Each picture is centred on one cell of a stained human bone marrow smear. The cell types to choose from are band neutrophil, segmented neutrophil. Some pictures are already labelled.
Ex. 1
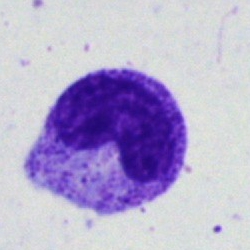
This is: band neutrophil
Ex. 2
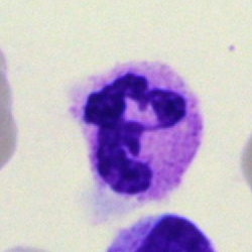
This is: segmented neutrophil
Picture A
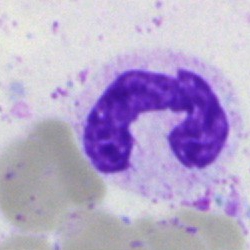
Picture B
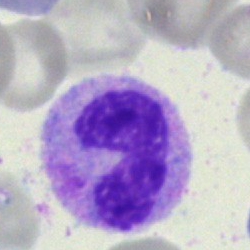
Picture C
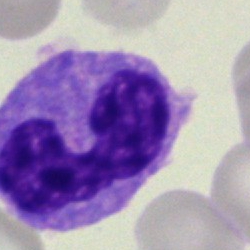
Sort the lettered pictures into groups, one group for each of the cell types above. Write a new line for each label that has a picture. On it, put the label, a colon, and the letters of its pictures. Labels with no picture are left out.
band neutrophil: A, B, C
